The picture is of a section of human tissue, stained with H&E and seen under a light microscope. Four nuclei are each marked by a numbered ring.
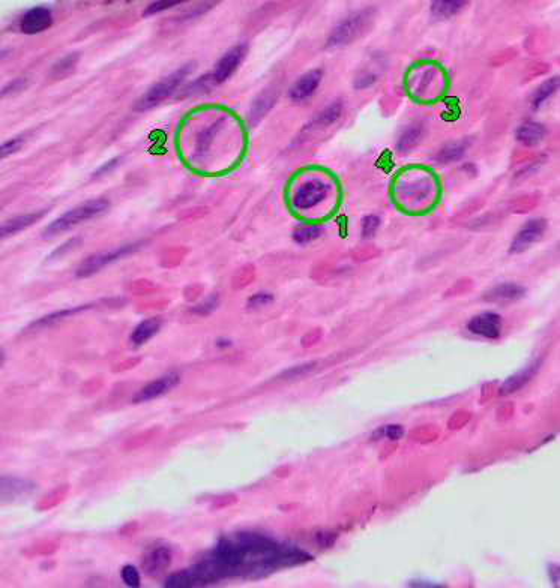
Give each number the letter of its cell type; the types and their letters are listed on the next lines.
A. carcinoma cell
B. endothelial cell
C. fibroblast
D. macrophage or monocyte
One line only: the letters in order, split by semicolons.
D; C; C; C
